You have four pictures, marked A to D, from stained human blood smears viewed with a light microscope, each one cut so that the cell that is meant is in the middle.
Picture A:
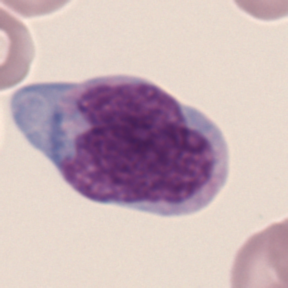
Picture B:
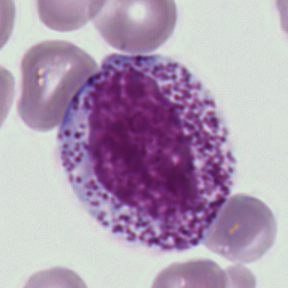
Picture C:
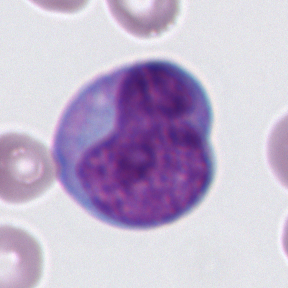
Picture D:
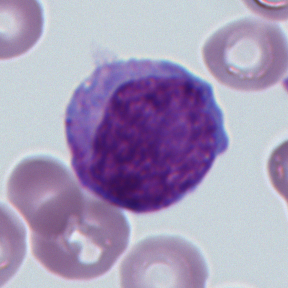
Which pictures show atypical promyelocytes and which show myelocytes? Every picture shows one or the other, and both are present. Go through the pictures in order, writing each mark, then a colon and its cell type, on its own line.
A: atypical promyelocyte
B: myelocyte
C: atypical promyelocyte
D: atypical promyelocyte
